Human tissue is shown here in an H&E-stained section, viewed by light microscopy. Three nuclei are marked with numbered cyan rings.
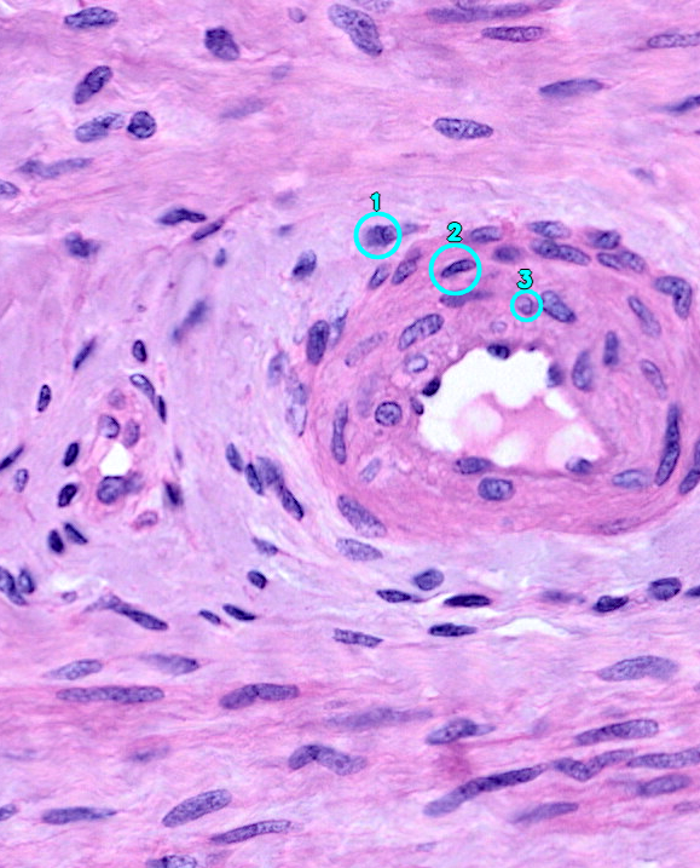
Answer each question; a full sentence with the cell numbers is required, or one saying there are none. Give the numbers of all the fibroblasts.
Across all the numbered cells, only number 1 is a fibroblast.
